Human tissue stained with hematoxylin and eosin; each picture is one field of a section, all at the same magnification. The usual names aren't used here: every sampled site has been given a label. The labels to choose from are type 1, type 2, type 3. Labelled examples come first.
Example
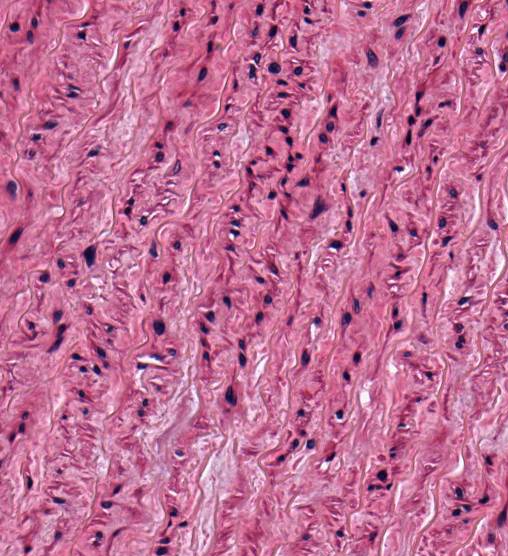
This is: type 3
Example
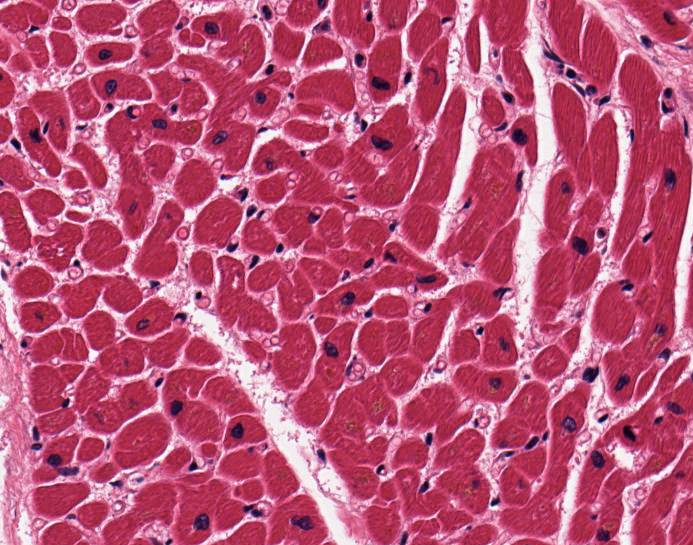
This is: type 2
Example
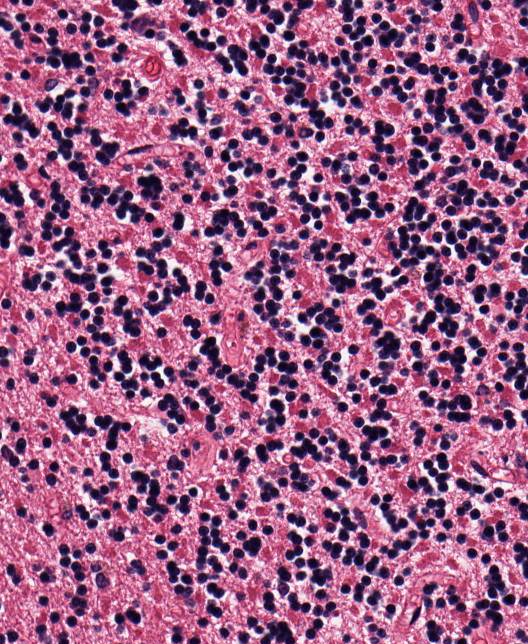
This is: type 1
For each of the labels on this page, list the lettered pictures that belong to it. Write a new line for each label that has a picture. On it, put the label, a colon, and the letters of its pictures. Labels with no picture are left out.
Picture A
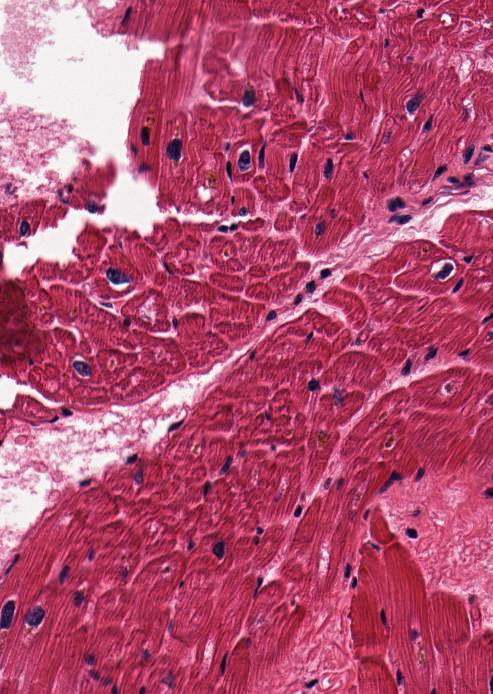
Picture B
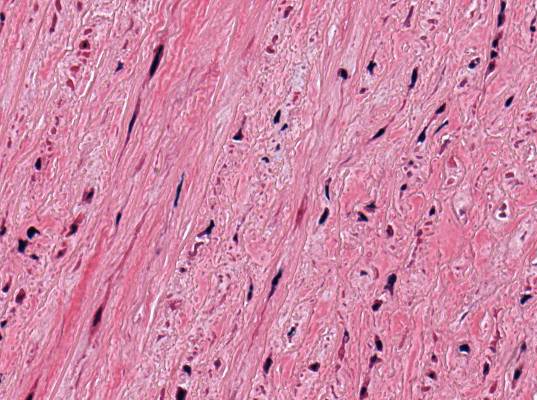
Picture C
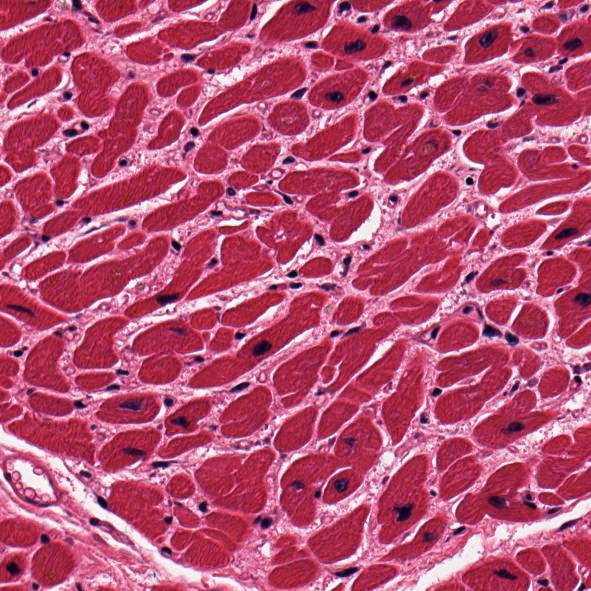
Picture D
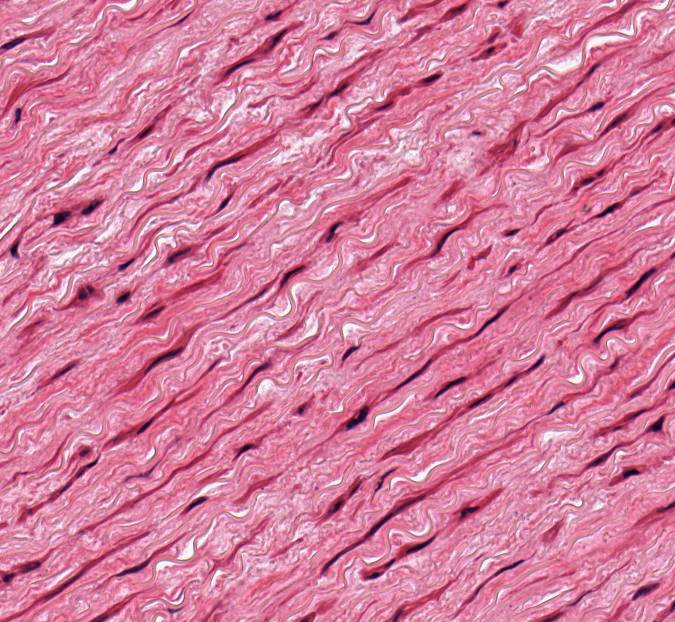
type 2: A, C
type 3: B, D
